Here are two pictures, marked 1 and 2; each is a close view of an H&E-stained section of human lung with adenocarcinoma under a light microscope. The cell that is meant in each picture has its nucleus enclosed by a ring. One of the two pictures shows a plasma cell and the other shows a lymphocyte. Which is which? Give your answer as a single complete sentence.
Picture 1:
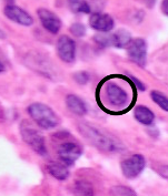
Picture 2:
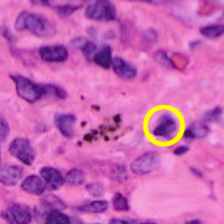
It is picture 1 that shows a plasma cell, and picture 2 that shows a lymphocyte.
